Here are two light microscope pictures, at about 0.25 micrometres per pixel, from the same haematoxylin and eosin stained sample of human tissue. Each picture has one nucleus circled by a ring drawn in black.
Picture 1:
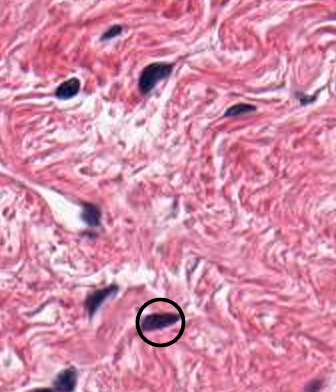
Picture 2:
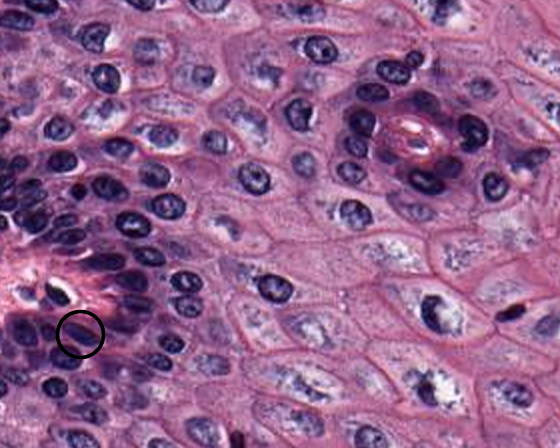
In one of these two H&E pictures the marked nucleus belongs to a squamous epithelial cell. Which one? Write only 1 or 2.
2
